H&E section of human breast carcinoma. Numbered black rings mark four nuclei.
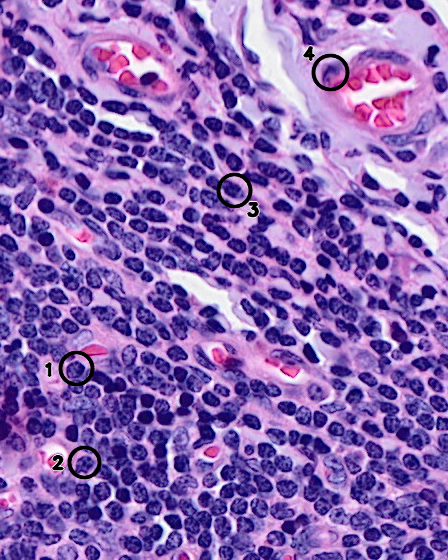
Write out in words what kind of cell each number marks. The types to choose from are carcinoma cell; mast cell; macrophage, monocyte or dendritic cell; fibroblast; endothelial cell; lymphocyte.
Cells 1, 2 and 3 are lymphocytes. Cell 4 is an endothelial cell.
